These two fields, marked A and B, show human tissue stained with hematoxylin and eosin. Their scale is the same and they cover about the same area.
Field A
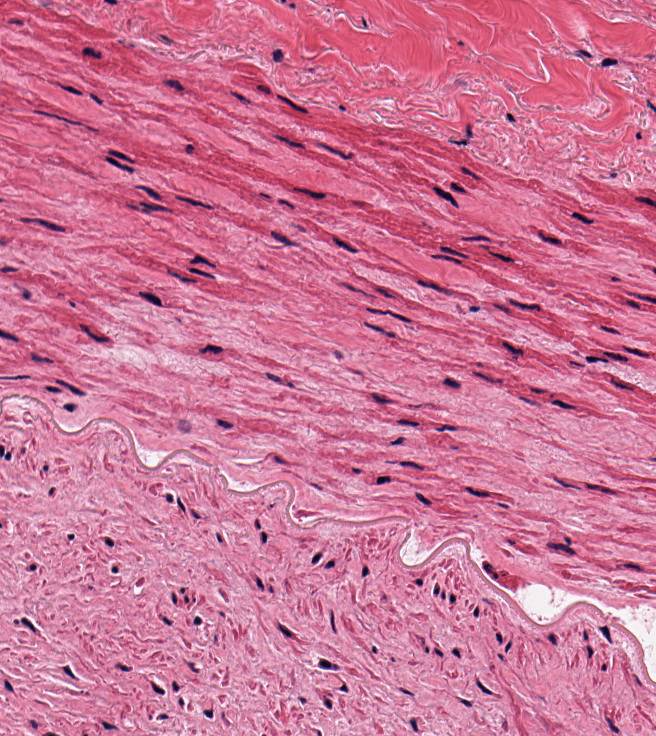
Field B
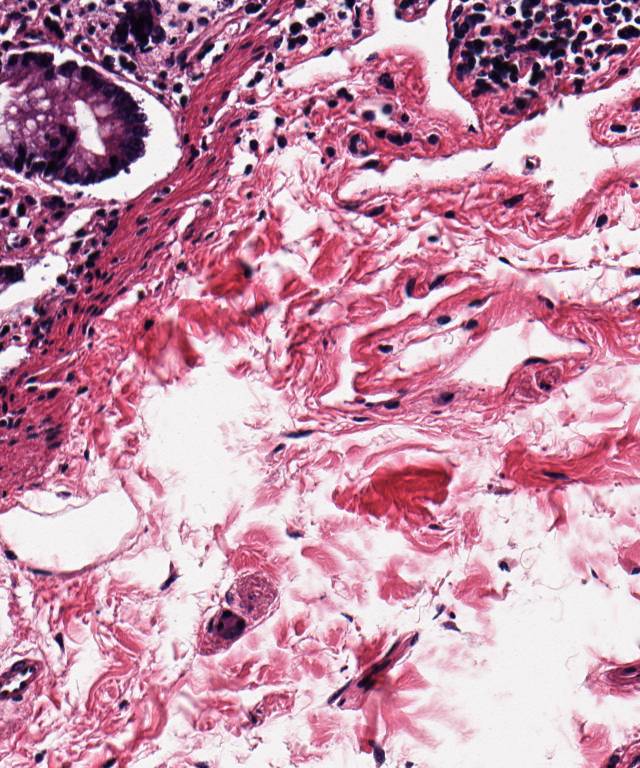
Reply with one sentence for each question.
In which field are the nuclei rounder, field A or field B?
Rounder nuclei lie in field B.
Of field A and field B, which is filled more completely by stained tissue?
Field A has less white space.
